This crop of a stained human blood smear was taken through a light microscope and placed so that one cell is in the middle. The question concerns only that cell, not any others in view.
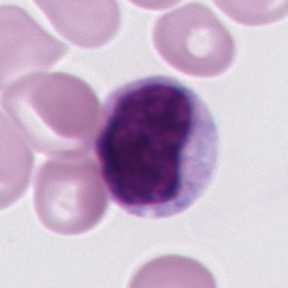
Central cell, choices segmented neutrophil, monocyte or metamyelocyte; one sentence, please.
The cell in the exact centre of the crop is a metamyelocyte.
